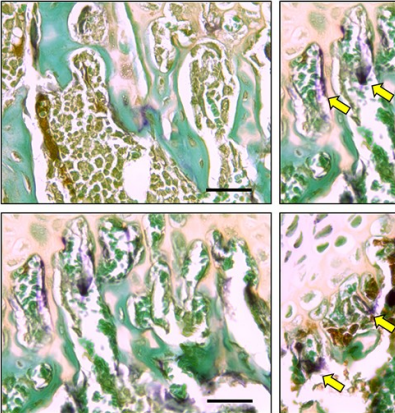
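These are sections of bone with thin trabeculae, stained blue-green, running through spaces filled with marrow cells. The marrow is crowded with small round cells that look pale green to brownish. Along the surfaces of the trabeculae lie dark purple deposits, where cells sit against the bone, and in the stained sections the yellow arrows point to such spots on the bone surfaces. In the lower right image a good deal of brown color gathers among the marrow cells and beside the bone surfaces, more than in the images beside it.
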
